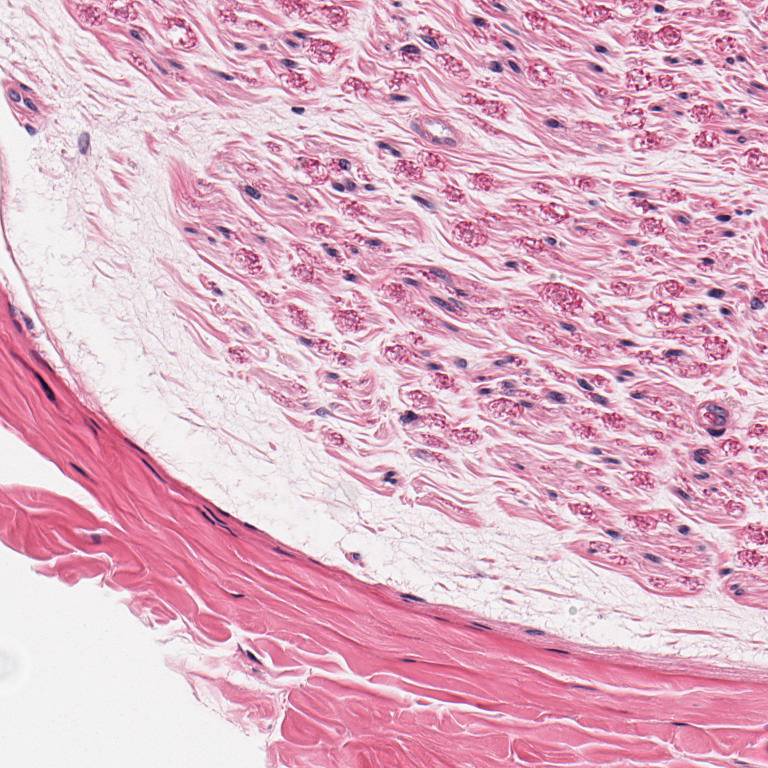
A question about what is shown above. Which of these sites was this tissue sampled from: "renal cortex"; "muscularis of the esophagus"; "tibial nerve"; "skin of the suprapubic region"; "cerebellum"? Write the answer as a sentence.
The site this tissue was sampled from is the tibial nerve.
